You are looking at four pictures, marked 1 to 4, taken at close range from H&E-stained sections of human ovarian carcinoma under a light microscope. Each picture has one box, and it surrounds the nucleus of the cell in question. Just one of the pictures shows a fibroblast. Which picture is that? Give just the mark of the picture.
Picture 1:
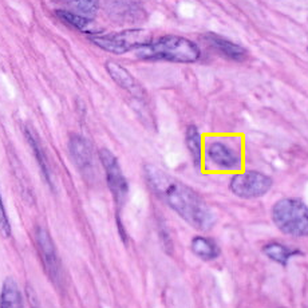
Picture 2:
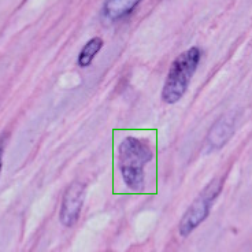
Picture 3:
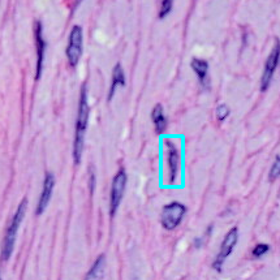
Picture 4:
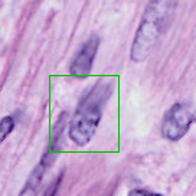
3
